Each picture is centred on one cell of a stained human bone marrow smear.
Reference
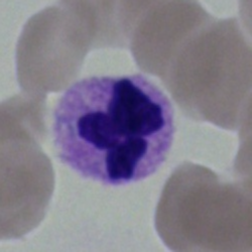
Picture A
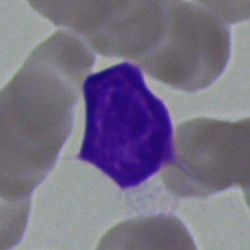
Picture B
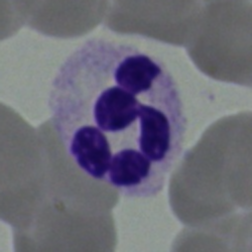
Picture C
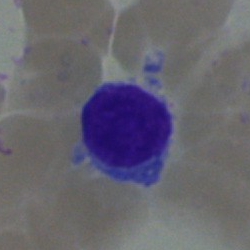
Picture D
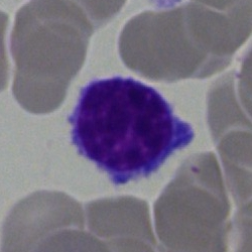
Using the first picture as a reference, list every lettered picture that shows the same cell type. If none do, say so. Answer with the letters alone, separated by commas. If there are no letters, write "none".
B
